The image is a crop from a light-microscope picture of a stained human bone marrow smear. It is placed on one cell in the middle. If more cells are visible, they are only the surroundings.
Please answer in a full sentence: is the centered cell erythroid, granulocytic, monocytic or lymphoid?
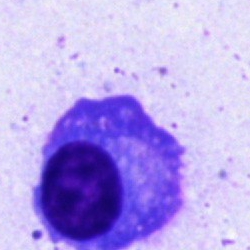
The cell at the center of the crop has lymphoid lineage.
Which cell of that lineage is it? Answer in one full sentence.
For this crop, the central cell is a plasma cell.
